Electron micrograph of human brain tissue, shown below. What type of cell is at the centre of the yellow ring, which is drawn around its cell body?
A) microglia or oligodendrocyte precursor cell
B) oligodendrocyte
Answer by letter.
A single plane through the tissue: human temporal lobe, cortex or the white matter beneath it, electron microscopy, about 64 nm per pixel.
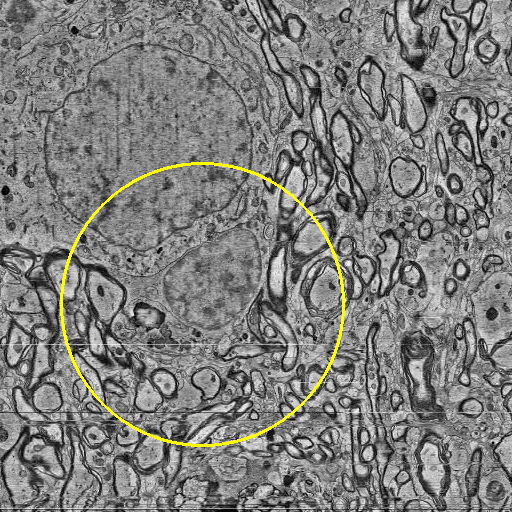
B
